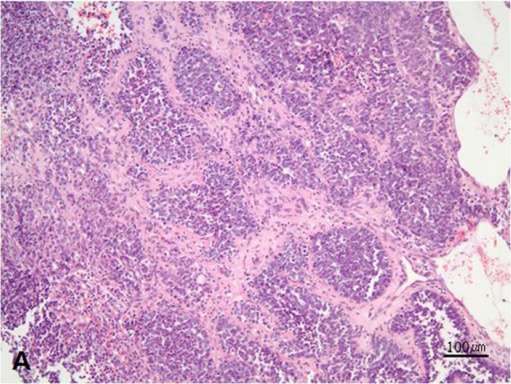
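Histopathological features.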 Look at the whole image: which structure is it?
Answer: Solid nests or sheets of tumor cells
